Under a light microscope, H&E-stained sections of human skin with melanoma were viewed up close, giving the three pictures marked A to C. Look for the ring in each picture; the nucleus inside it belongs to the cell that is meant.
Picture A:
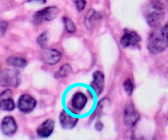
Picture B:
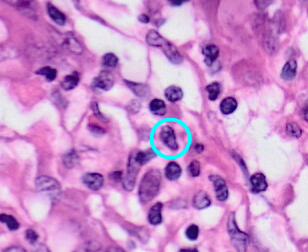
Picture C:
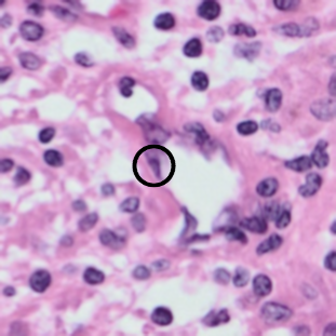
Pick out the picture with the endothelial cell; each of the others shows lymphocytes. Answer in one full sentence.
The endothelial cell is the one in picture C.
